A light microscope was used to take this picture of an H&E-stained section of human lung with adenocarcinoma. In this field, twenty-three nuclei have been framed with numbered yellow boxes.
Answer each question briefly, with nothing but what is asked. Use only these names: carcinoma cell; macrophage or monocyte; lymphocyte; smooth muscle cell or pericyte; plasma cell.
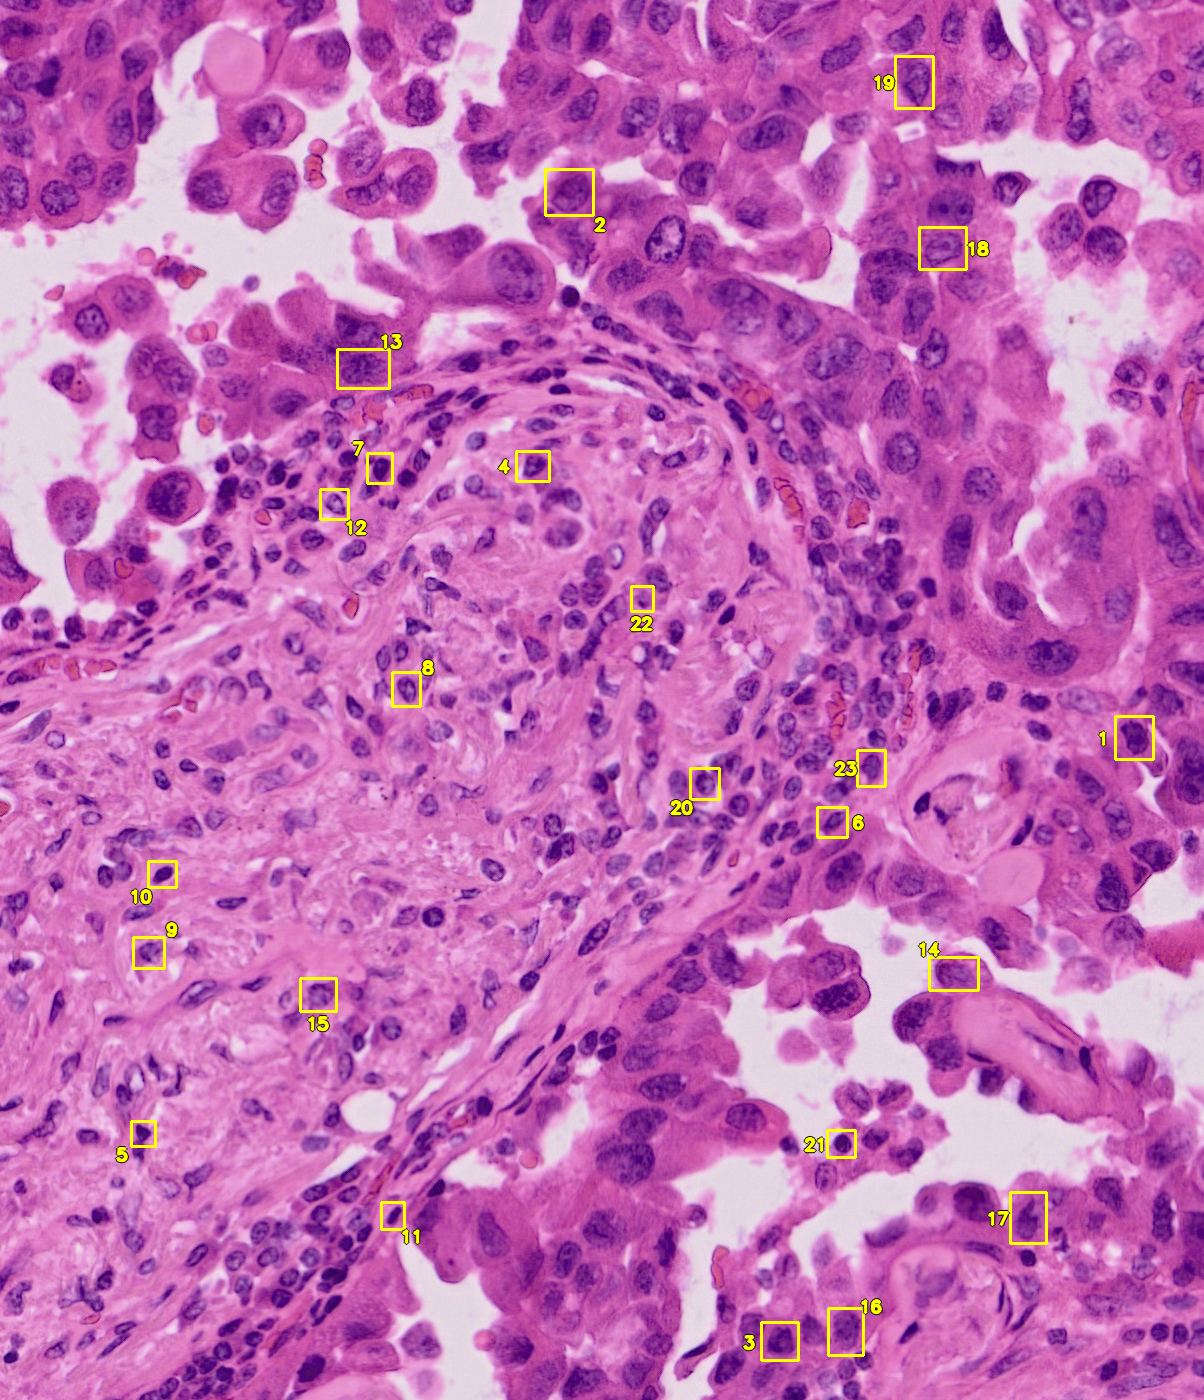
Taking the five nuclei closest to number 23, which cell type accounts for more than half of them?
lymphocyte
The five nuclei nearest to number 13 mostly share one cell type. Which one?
carcinoma cell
